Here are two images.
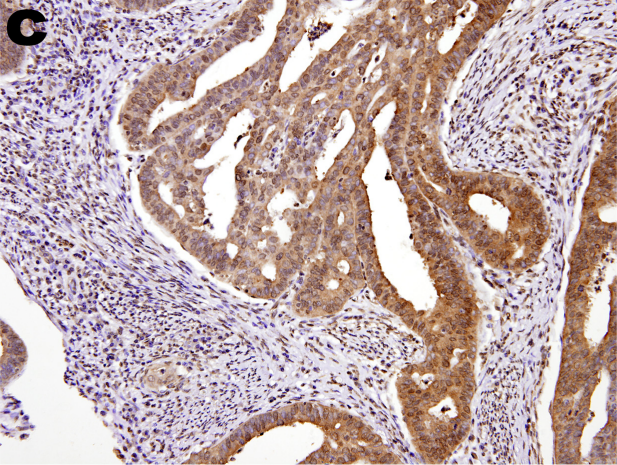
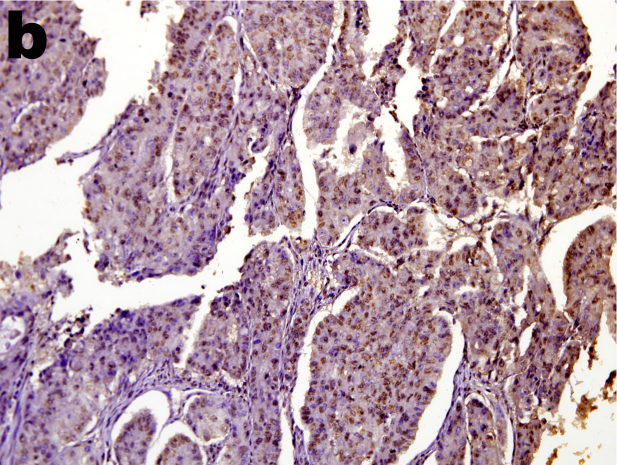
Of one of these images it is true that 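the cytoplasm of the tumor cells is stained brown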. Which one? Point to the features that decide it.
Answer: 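First image: the cell bodies of the gland-lining cells are evenly brown. Second image: brown is confined to nuclear dots with pale cytoplasm between them.
Hence: the first image.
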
